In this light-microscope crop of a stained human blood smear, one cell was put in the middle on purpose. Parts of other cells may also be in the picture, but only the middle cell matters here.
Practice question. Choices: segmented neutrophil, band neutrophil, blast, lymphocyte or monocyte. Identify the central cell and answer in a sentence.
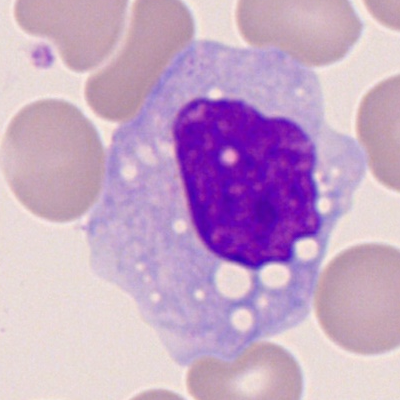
In this crop, the cell at the very middle is a monocyte.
